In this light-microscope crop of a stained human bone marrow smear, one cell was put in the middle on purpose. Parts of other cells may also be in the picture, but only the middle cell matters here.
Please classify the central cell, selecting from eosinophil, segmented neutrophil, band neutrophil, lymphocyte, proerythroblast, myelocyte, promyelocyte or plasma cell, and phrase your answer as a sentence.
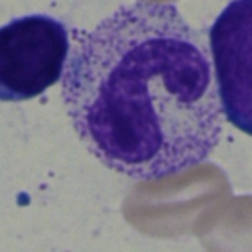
Within this crop, a segmented neutrophil occupies the central position.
